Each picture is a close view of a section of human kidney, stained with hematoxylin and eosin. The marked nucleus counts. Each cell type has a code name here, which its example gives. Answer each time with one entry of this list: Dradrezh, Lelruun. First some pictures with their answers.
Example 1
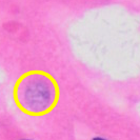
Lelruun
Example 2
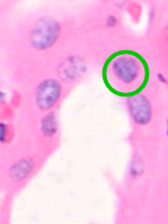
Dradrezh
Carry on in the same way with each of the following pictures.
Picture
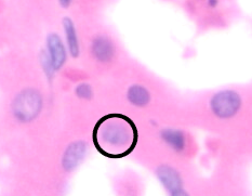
Dradrezh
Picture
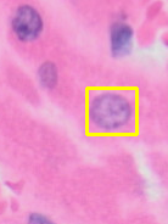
Lelruun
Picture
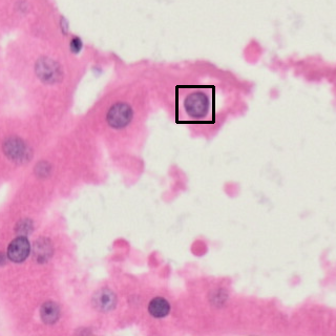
Lelruun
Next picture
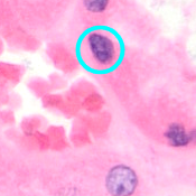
Lelruun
